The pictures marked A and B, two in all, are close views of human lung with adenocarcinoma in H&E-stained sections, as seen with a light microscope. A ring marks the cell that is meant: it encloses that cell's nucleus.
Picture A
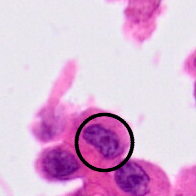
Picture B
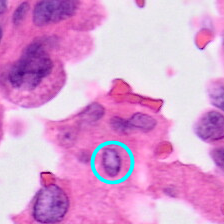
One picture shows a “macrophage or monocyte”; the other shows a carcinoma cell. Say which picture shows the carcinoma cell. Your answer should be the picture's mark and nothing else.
A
